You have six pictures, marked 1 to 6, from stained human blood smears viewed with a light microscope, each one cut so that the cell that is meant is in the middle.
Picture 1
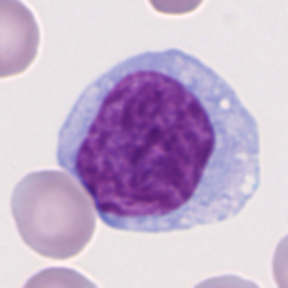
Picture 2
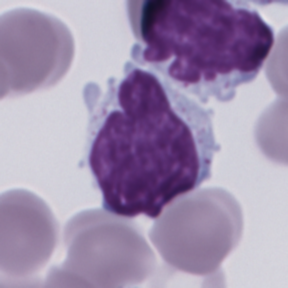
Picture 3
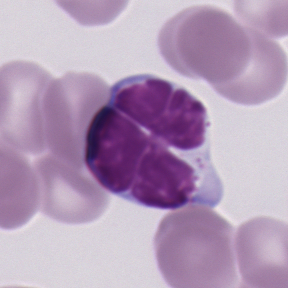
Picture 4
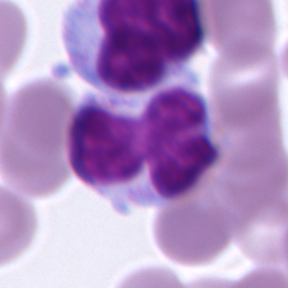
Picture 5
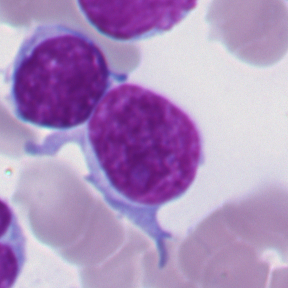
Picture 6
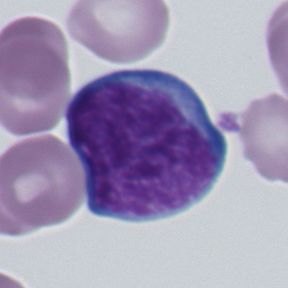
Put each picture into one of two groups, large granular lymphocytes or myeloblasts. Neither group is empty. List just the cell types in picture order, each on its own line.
myeloblast
large granular lymphocyte
large granular lymphocyte
large granular lymphocyte
myeloblast
myeloblast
